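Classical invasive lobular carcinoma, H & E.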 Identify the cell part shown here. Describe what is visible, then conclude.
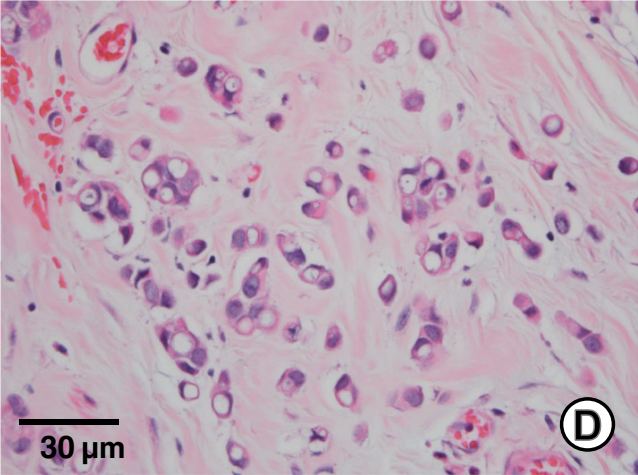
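Round clear spaces lie within the cytoplasm of tumour cells. Spaces are rimmed by a thin pink border.
Conclusion: intracytoplasmic lumens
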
